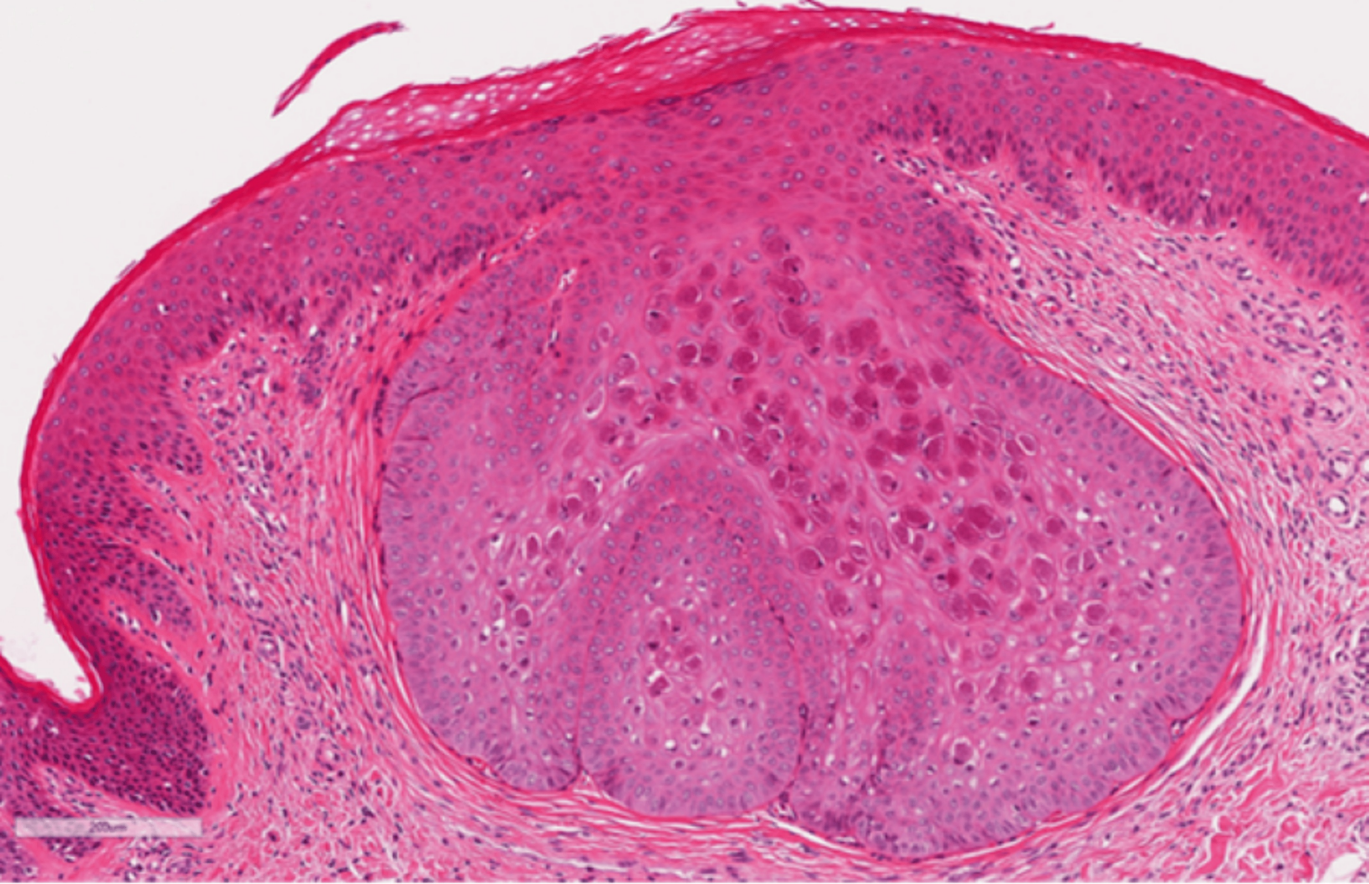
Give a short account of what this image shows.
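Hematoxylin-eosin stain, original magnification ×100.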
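Skin with a thickened surface layer of stratified squamous epithelium and thin compact pink keratin on top. Beneath it lies a large, rounded, well-bordered lobule of squamous epithelium that grows down into the dermis and is compressed by a rim of fibrous stroma. Toward the centre of the lobule, many keratinocytes contain large, round to oval, deep pink homogeneous bodies that are much larger than the normal nuclei and displace the cell contents, often with a pale halo around them. At the lobule's edge, the basal and lower cells are small and purple with regular round nuclei and no such bodies. The surrounding dermis holds spindle-shaped stromal cells, small vessels and scattered inflammatory cells.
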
